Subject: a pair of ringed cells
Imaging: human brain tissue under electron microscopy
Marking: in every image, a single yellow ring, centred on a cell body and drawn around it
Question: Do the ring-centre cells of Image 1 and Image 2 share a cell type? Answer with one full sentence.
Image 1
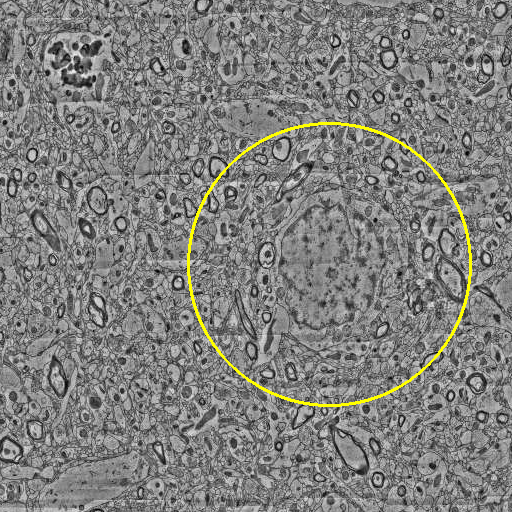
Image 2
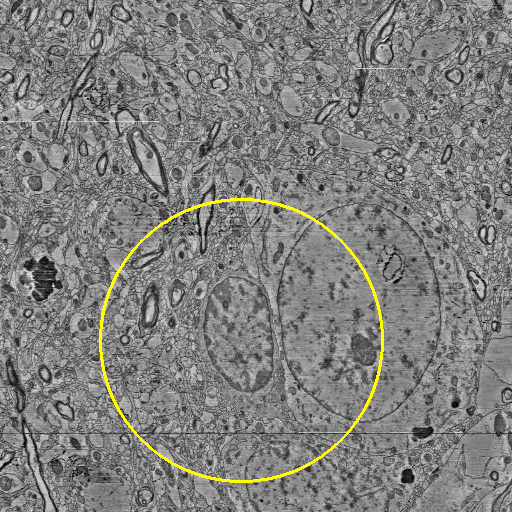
No, at the ring centres in the images sit cells of two separate types.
